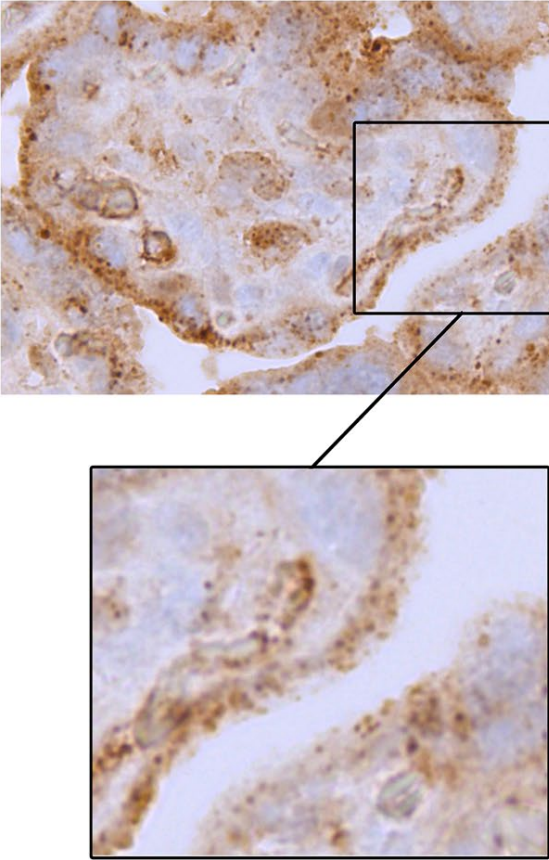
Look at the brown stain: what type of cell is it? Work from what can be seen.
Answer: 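Brown granular stain is concentrated in a continuous outer layer lining the villus-like tissue profiles. The stained layer borders the open spaces between the tissue profiles. Blue nuclei lie within the stained lining layer without clear cell borders between them. That points to this answer: syncytiotrophoblasts.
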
